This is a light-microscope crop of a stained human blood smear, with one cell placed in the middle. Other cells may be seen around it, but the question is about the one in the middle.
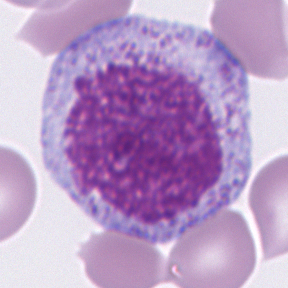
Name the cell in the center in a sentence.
The cell at the heart of this crop is a promyelocyte.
